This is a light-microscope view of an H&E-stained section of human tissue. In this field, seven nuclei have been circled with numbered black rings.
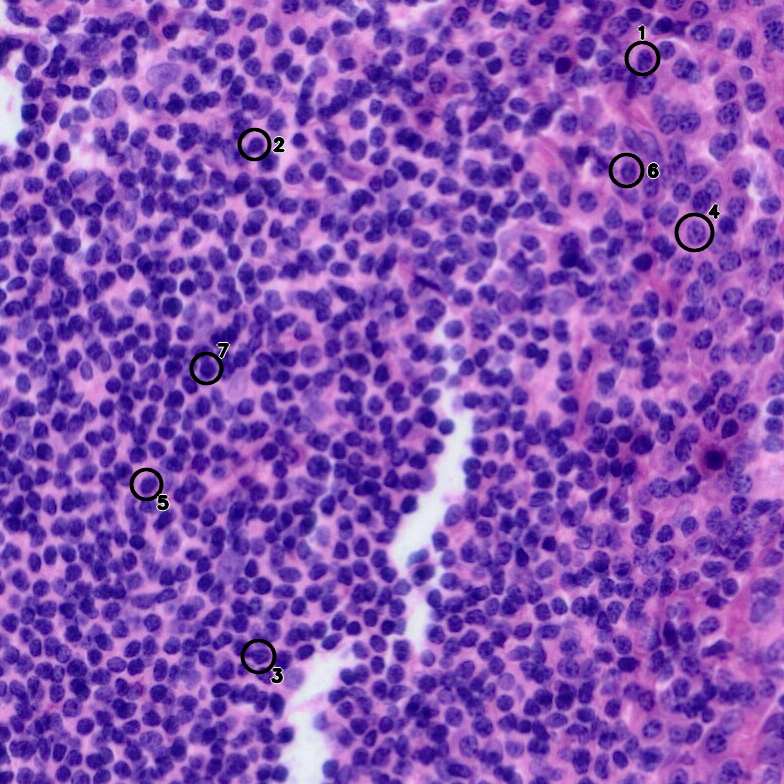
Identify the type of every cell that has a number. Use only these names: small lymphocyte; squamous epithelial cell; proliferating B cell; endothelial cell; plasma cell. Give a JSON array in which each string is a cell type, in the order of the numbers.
["plasma cell", "small lymphocyte", "small lymphocyte", "plasma cell", "small lymphocyte", "plasma cell", "small lymphocyte"]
